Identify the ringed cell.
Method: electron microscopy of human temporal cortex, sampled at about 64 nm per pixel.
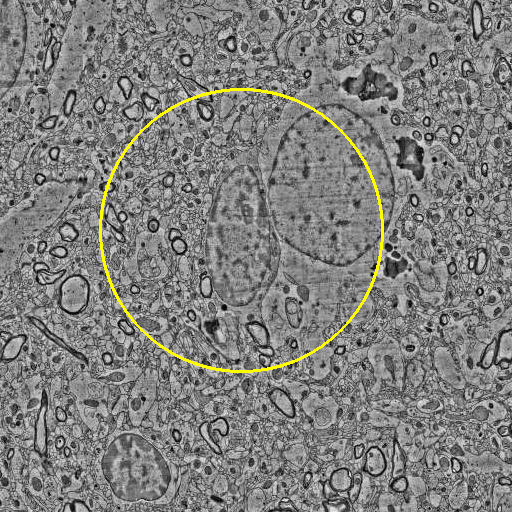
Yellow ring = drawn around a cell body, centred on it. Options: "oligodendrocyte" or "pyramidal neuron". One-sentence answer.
What the ring is centred on is an oligodendrocyte.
